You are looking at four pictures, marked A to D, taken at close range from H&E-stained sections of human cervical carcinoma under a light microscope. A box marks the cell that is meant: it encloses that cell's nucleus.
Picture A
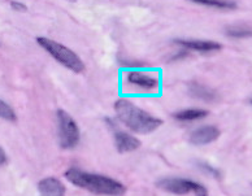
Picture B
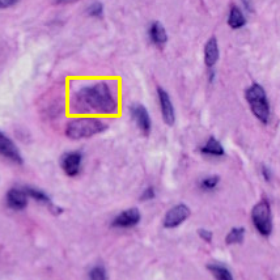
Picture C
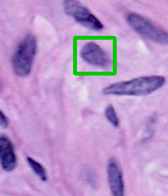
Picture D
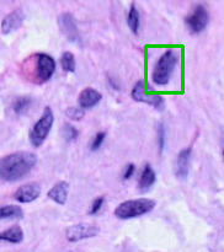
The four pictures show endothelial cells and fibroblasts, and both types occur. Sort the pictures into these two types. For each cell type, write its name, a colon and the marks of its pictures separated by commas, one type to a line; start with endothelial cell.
endothelial cell: B
fibroblast: A, C, D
